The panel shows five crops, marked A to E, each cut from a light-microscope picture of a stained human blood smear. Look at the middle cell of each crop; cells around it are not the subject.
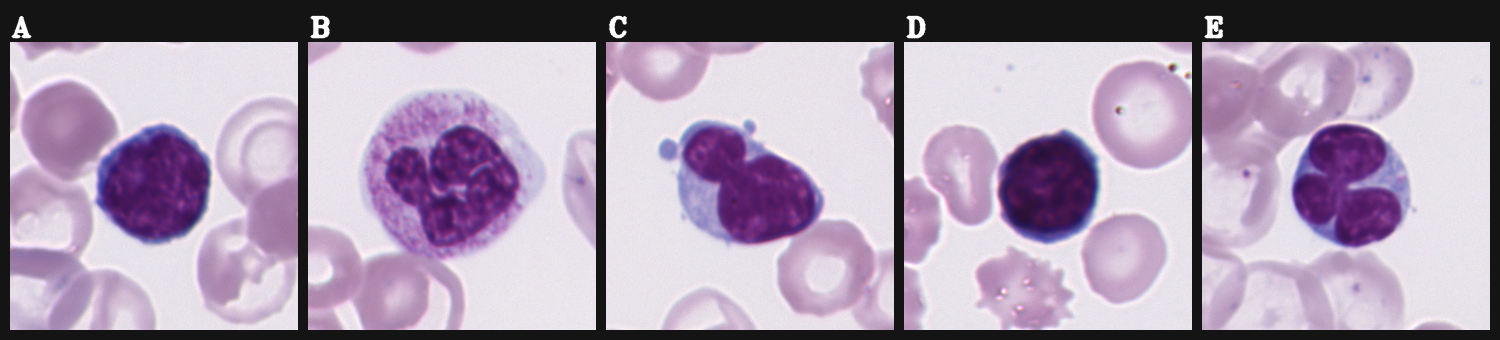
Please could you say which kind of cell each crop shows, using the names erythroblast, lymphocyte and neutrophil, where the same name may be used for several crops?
A: lymphocyte
B: neutrophil
C: lymphocyte
D: lymphocyte
E: lymphocyte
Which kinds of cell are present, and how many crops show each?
lymphocyte: 4
neutrophil: 1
